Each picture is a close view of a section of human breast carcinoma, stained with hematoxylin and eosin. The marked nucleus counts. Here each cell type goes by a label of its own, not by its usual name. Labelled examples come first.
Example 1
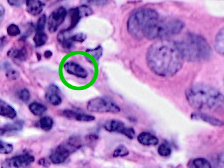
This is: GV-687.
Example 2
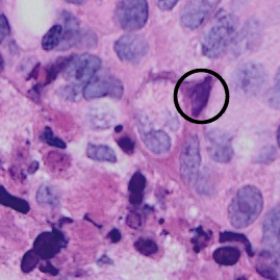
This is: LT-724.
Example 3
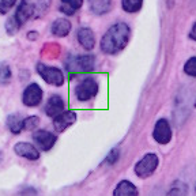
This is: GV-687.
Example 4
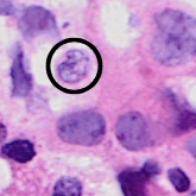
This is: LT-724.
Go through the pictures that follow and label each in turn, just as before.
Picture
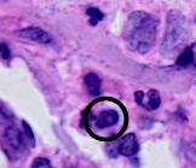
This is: GV-687.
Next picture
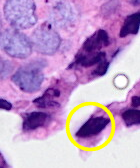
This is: LT-724.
